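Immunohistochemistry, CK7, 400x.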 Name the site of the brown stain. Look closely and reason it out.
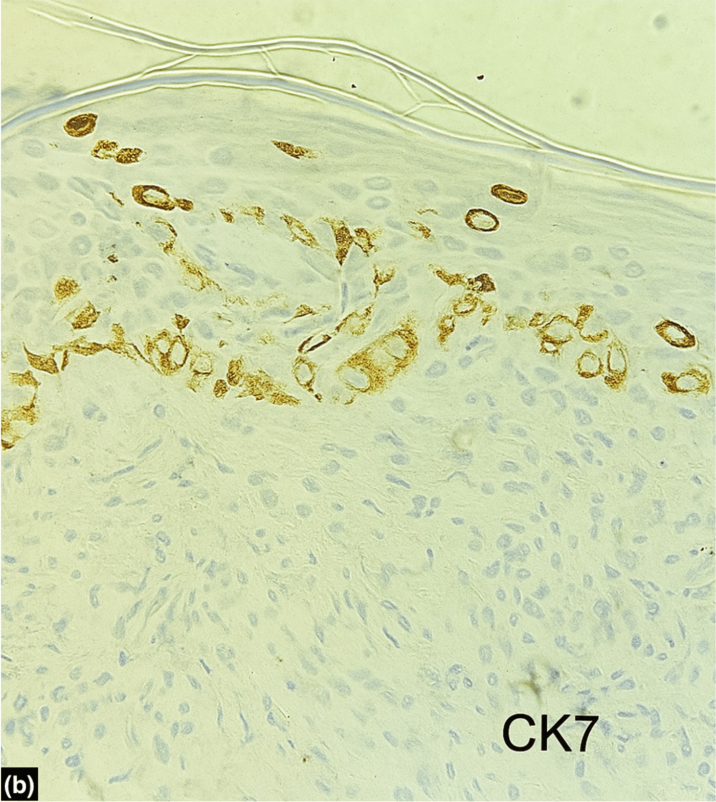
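Brown-stained rounded cells lie within the stratified surface epithelium. The underlying tissue with spindle-shaped nuclei is unstained blue. Some stained cells reach the upper layers near the thin keratin layer. So: intraepidermal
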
